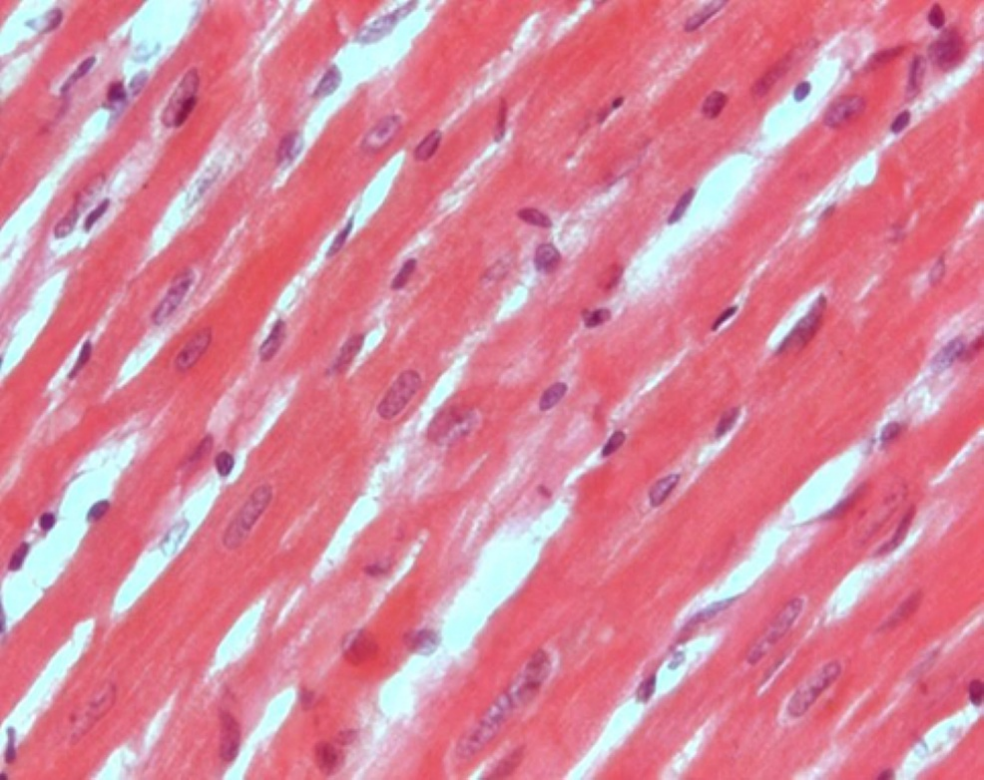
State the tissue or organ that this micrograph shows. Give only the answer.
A: Cardiac myofibers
